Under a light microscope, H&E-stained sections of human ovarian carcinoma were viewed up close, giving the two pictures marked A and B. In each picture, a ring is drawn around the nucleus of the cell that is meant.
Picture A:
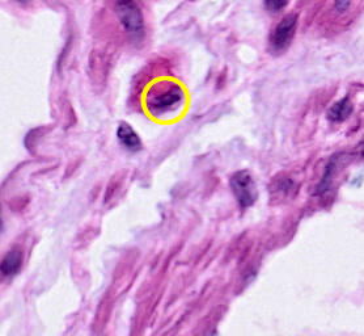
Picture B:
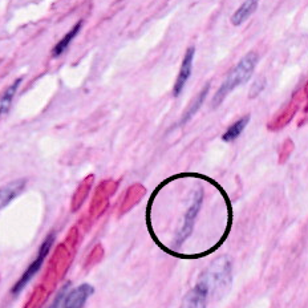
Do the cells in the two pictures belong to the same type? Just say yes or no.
no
